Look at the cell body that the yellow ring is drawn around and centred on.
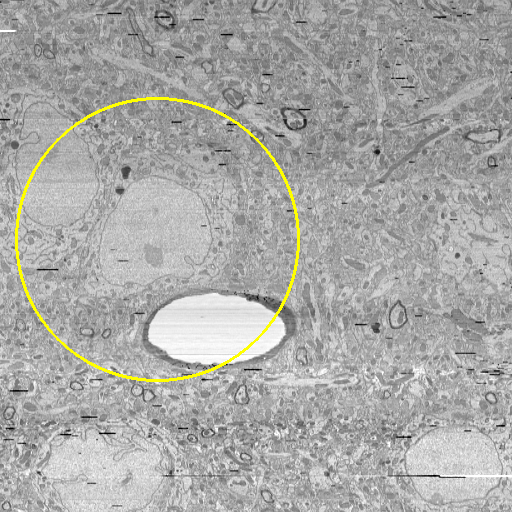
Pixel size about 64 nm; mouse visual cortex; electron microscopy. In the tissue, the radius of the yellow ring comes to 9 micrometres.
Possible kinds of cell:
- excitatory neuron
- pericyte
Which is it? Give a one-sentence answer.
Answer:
The centred cell body is that of an excitatory neuron.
